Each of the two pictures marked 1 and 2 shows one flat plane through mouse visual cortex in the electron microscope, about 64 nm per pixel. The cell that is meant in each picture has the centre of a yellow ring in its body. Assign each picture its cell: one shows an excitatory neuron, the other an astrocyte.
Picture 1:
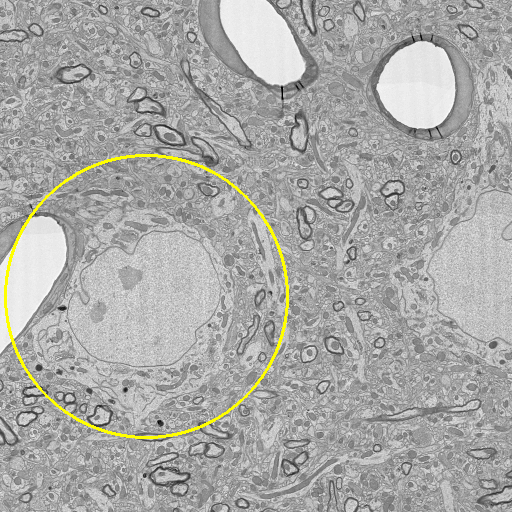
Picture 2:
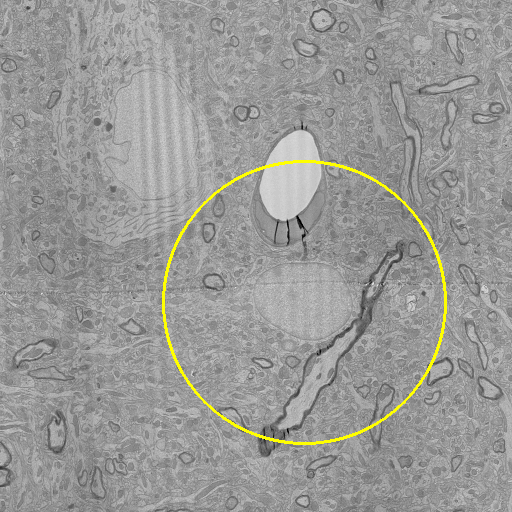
Picture 1 is of an excitatory neuron, and picture 2 is of an astrocyte.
